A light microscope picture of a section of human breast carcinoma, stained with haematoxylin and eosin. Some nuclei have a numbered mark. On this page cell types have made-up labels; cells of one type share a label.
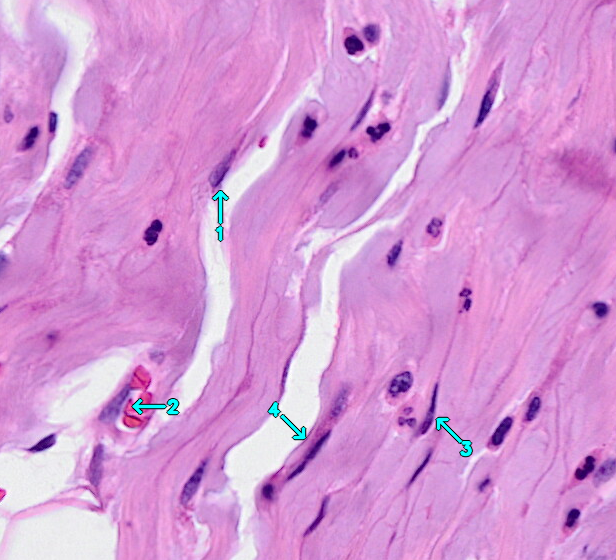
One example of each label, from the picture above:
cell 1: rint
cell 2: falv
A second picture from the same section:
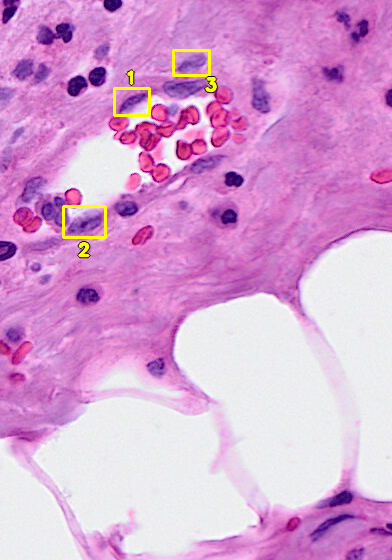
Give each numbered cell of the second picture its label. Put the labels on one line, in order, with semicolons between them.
falv; falv; rint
